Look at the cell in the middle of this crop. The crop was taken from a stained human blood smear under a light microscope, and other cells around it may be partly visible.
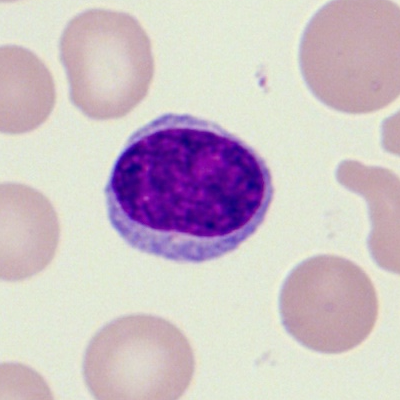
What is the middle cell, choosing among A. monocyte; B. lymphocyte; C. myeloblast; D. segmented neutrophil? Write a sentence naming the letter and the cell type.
The cell at the centre is a lymphocyte, and option B accordingly is correct.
